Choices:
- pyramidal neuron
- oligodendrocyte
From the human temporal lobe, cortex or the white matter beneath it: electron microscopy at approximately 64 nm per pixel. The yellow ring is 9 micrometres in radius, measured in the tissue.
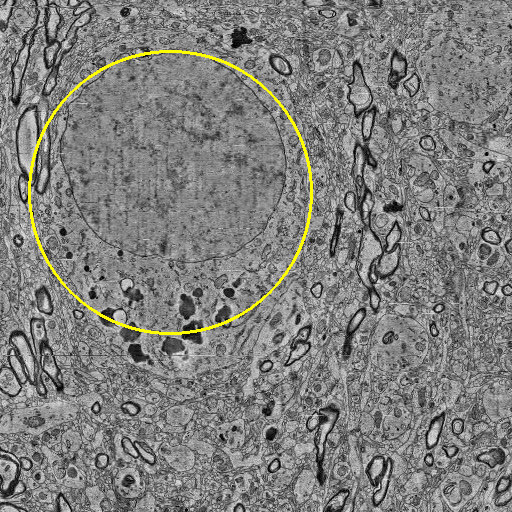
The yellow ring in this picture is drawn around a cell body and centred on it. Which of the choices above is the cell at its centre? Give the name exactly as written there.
pyramidal neuron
